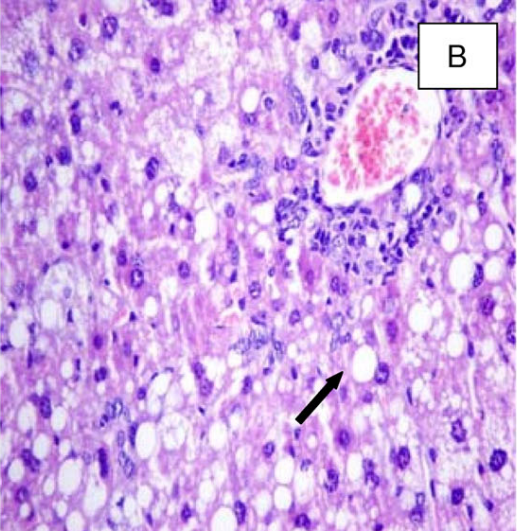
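This is liver, with plates of hepatocytes showing round purple nuclei and pale pink-violet cytoplasm. Many hepatocytes contain clear, round, empty-looking vacuoles of different sizes, some small and several large, where lipid droplets were dissolved out during processing. The arrow marks one such clear inclusion. Near the top right lies a vessel packed with red blood cells, and around it gathers a dense cuff of small cells with dark, round nuclei, an inflammatory infiltrate. Compared with healthy liver, the cytoplasm looks paler and more irregular, and the regular cord arrangement is disturbed by the vacuoles.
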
